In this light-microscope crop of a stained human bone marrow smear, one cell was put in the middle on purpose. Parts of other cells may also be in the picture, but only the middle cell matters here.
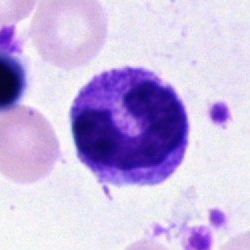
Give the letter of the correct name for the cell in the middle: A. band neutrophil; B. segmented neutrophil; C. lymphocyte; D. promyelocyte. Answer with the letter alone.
B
